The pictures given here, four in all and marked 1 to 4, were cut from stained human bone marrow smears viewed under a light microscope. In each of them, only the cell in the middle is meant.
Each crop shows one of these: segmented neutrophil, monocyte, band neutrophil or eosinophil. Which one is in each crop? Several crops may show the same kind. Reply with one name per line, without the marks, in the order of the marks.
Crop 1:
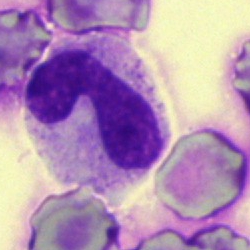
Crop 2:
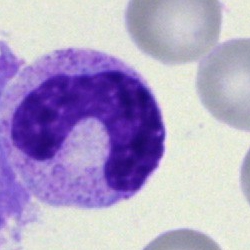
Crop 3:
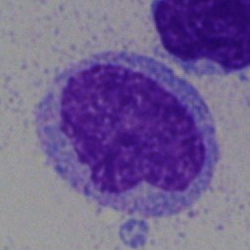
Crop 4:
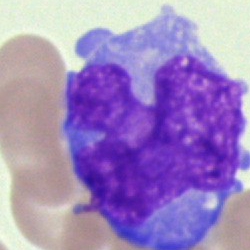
band neutrophil
band neutrophil
monocyte
monocyte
